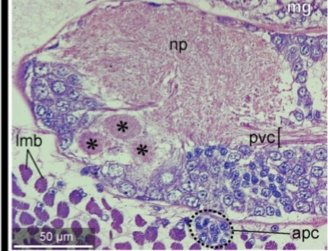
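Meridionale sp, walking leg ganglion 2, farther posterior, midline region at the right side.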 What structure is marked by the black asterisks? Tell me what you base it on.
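The asterisks mark round to oval, sharply bordered pink patches in the lower part of the ganglion. Each patch is fine-textured, without nuclei, and set off from the surrounding cells. So: glomerulus-like neuropils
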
